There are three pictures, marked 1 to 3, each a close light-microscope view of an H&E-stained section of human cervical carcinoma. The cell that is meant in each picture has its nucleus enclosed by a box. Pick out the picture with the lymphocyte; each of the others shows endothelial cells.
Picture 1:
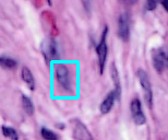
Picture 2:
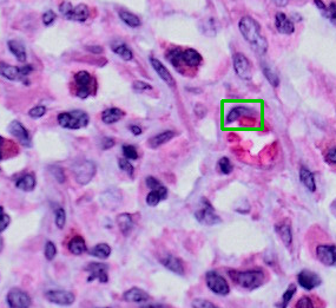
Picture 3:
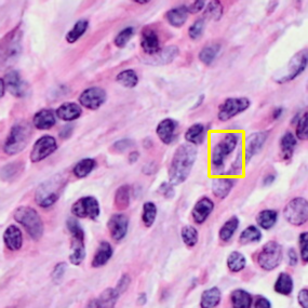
3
